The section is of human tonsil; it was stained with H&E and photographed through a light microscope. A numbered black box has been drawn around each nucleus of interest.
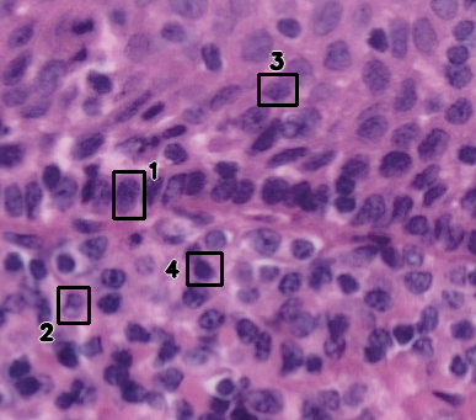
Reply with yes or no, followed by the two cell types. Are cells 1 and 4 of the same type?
No, sorry to say, cell 1 is a squamous epithelial cell and cell 4 is a plasma cell.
